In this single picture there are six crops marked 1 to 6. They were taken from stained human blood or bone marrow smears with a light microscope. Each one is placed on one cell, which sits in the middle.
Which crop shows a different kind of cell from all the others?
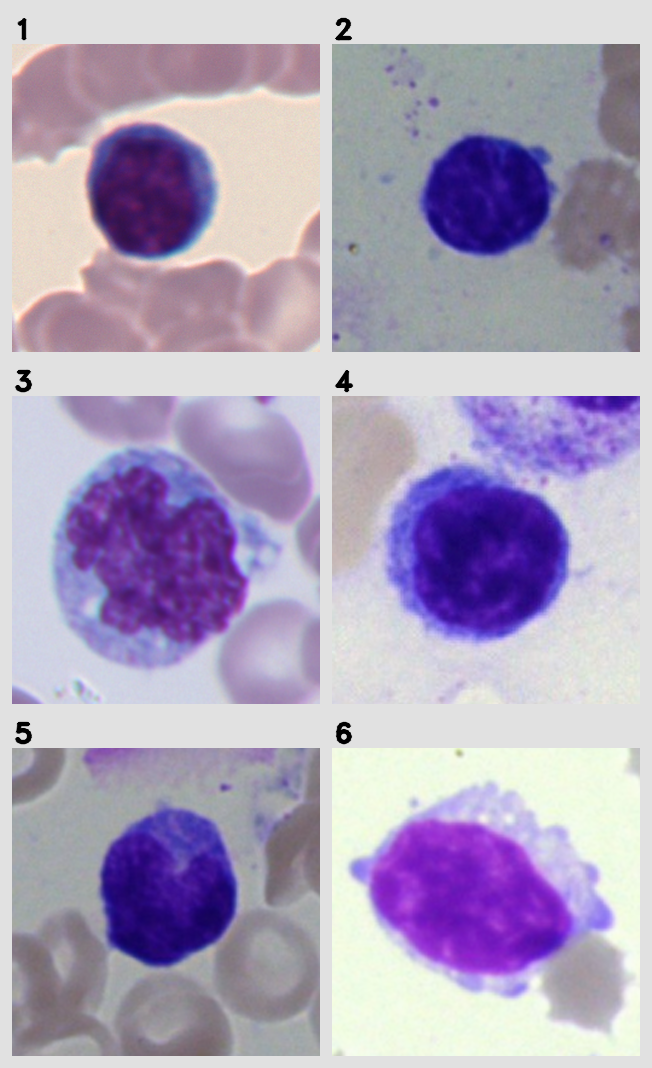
3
